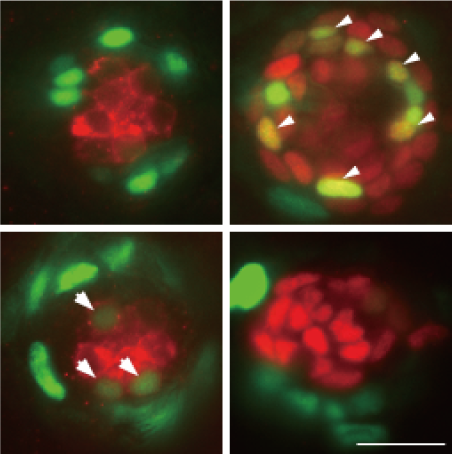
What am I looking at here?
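These are neuromasts seen from above, each a small rosette of sensory hair cells surrounded by support cells. In the images with red cell-body labelling, a compact central cluster of rounded red cells forms the core, while elongated, flattened green nuclei curve around the outside of the organ.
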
